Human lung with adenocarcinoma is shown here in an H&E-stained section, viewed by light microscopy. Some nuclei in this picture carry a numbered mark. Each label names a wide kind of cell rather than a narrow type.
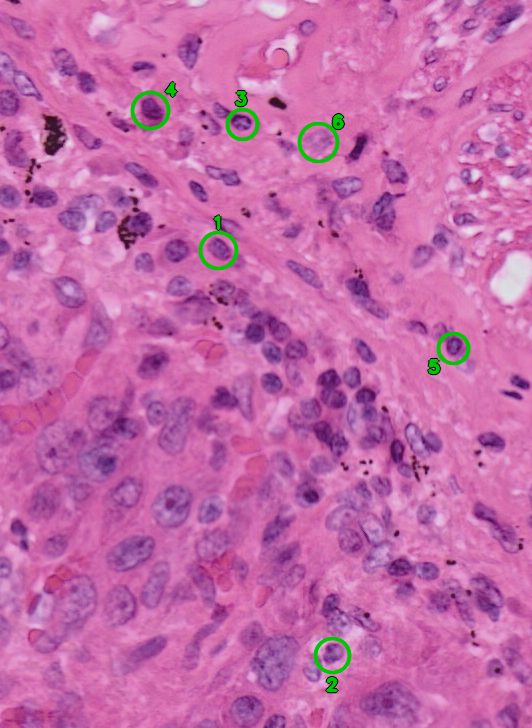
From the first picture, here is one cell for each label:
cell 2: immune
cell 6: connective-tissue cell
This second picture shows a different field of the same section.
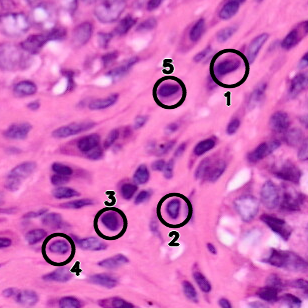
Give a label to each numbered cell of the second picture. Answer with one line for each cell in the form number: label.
1: immune
2: immune
3: immune
4: immune
5: immune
